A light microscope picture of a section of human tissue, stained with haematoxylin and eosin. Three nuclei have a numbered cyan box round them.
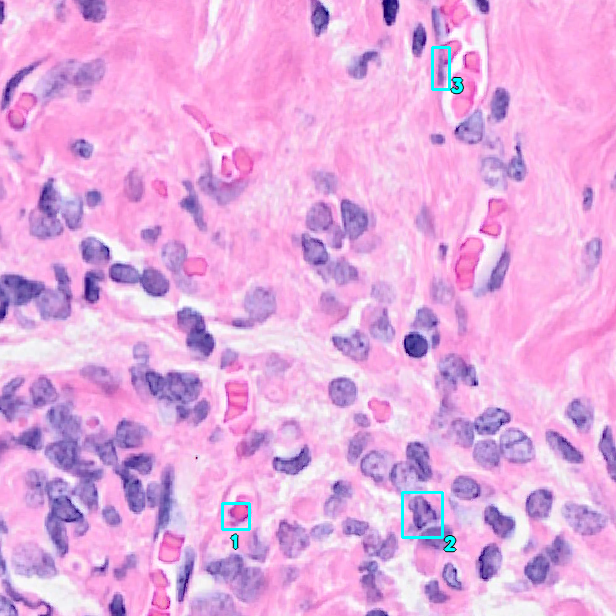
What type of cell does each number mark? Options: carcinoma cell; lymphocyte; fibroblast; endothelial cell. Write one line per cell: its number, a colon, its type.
1: endothelial cell
2: carcinoma cell
3: endothelial cell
